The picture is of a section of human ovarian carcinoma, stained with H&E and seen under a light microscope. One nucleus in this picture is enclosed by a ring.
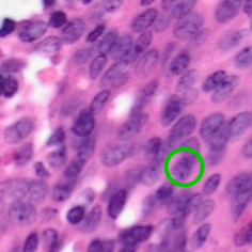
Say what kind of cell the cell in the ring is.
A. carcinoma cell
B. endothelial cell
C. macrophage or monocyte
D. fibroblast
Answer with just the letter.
A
